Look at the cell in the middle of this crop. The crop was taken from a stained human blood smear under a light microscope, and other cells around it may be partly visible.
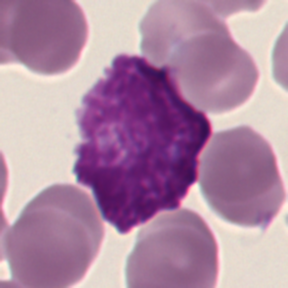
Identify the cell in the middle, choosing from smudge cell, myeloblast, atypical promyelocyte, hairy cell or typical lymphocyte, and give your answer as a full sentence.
Where the crop is centred, there is a smudge cell.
